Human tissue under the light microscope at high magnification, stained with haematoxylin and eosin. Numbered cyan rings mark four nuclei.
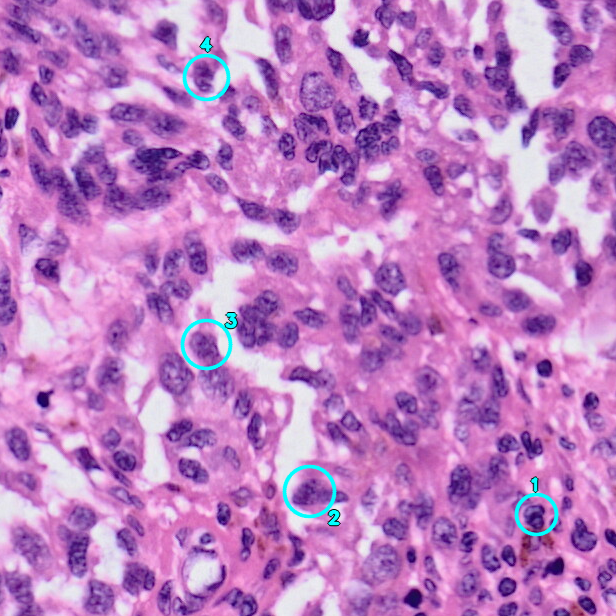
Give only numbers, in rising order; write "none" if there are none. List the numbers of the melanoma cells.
2, 3, 4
